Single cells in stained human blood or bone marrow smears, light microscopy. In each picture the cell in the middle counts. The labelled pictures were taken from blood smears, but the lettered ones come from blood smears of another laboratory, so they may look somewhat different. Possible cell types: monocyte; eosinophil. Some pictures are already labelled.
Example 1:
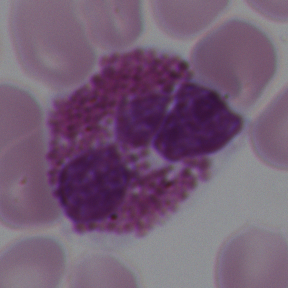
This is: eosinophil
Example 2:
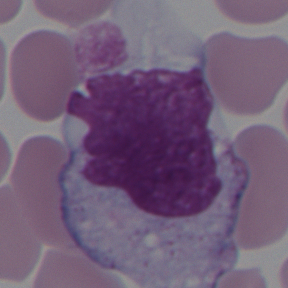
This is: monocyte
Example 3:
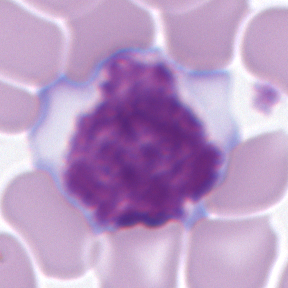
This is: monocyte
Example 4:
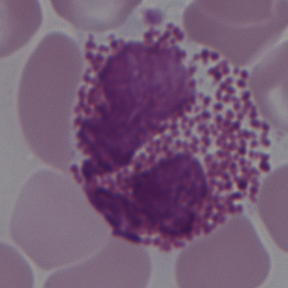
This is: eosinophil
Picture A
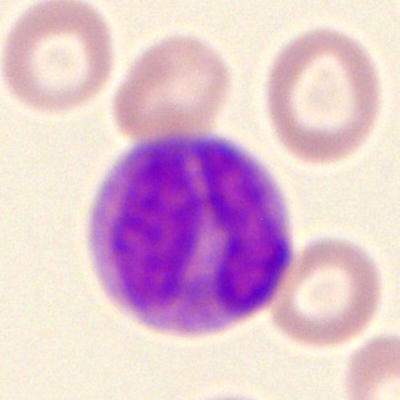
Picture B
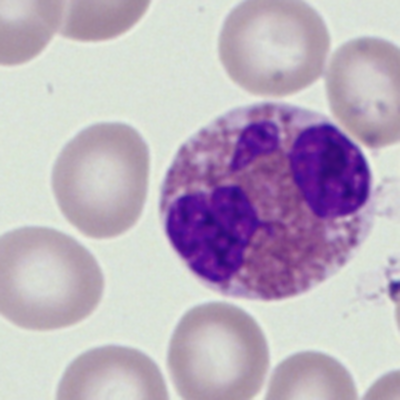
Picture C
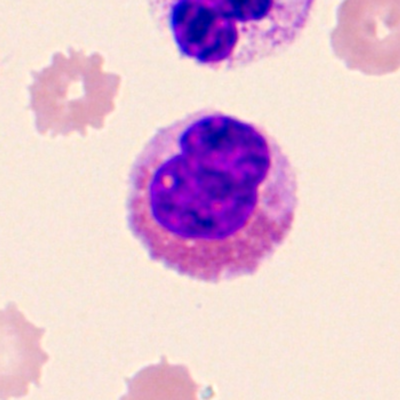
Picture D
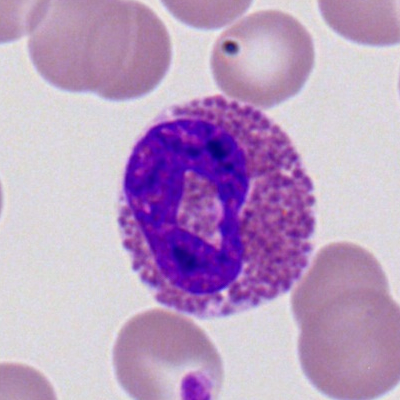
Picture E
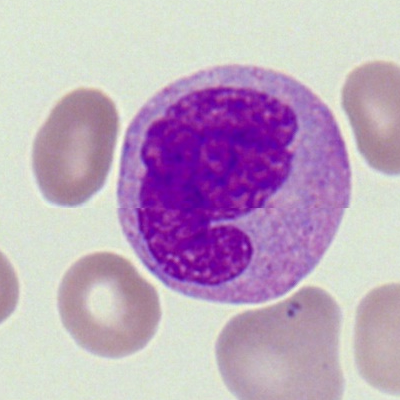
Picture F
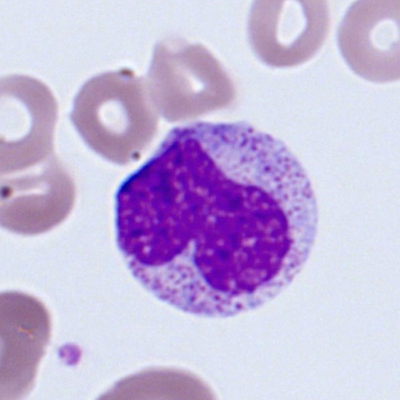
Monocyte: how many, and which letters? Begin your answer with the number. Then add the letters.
3: A, E, F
